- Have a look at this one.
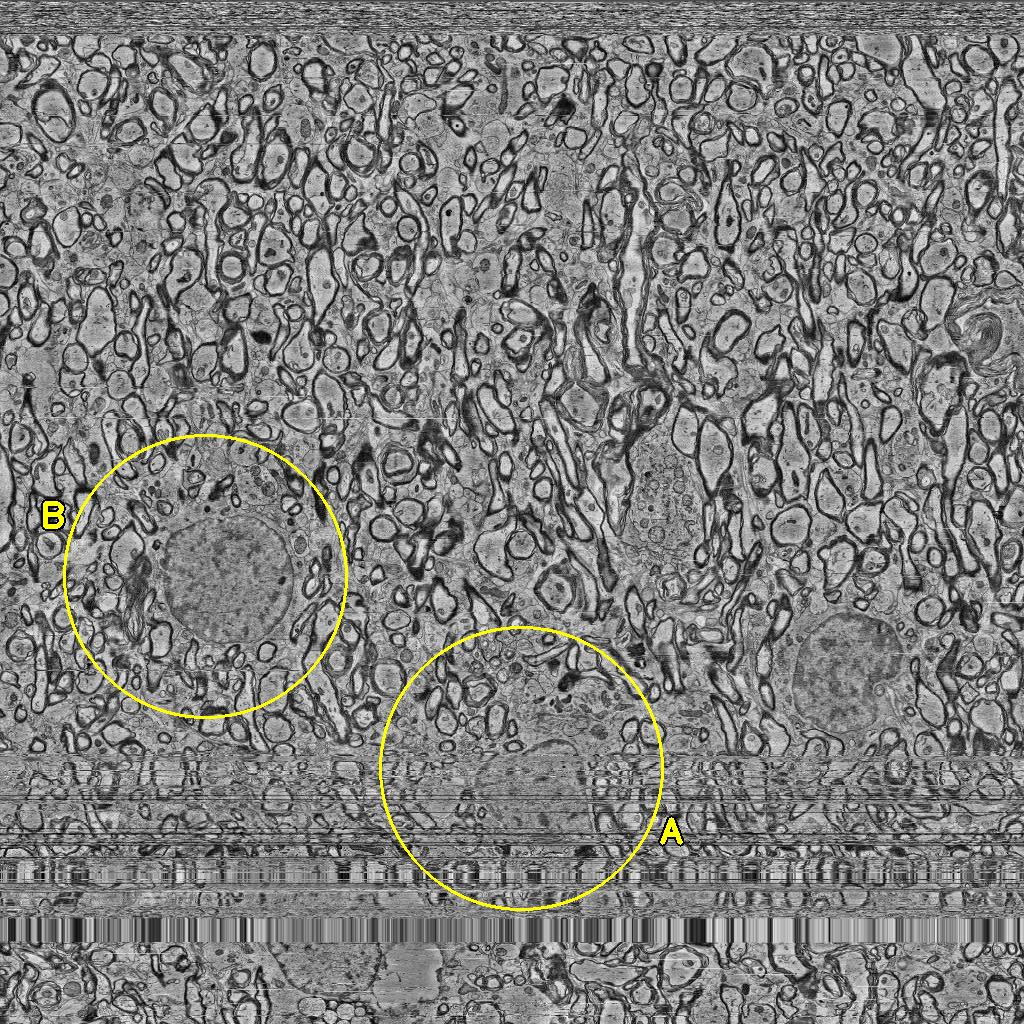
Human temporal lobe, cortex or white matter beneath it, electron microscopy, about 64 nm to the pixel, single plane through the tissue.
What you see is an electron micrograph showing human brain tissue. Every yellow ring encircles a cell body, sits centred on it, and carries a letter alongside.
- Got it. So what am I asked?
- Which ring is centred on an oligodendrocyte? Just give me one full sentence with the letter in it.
The cell asked for sits in the centre of the ring lettered B.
